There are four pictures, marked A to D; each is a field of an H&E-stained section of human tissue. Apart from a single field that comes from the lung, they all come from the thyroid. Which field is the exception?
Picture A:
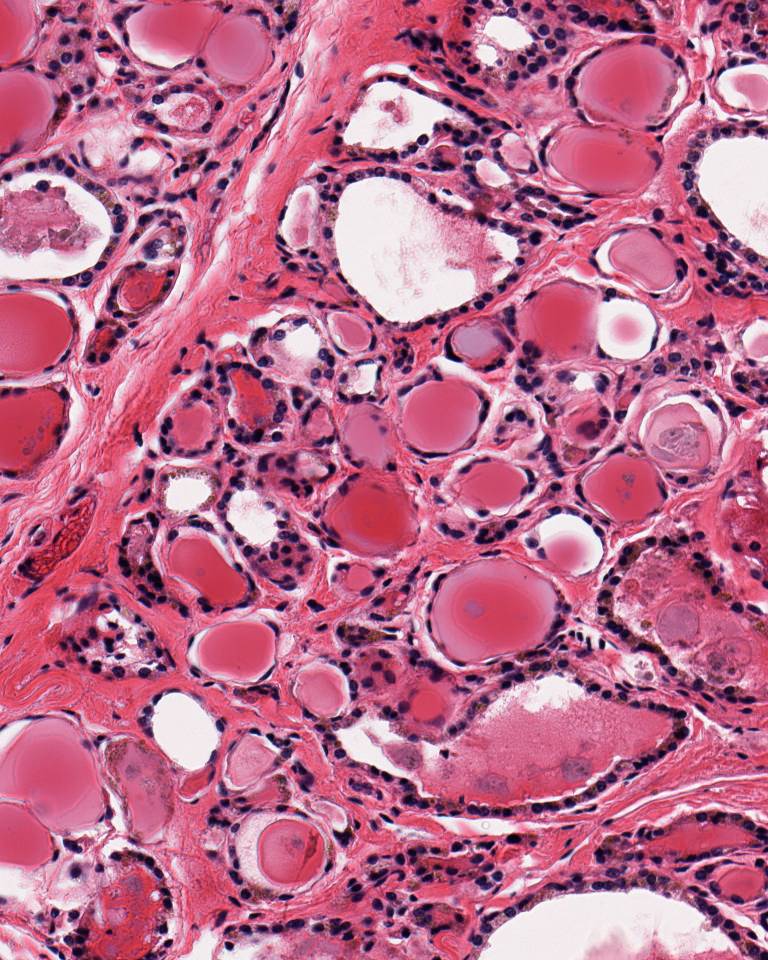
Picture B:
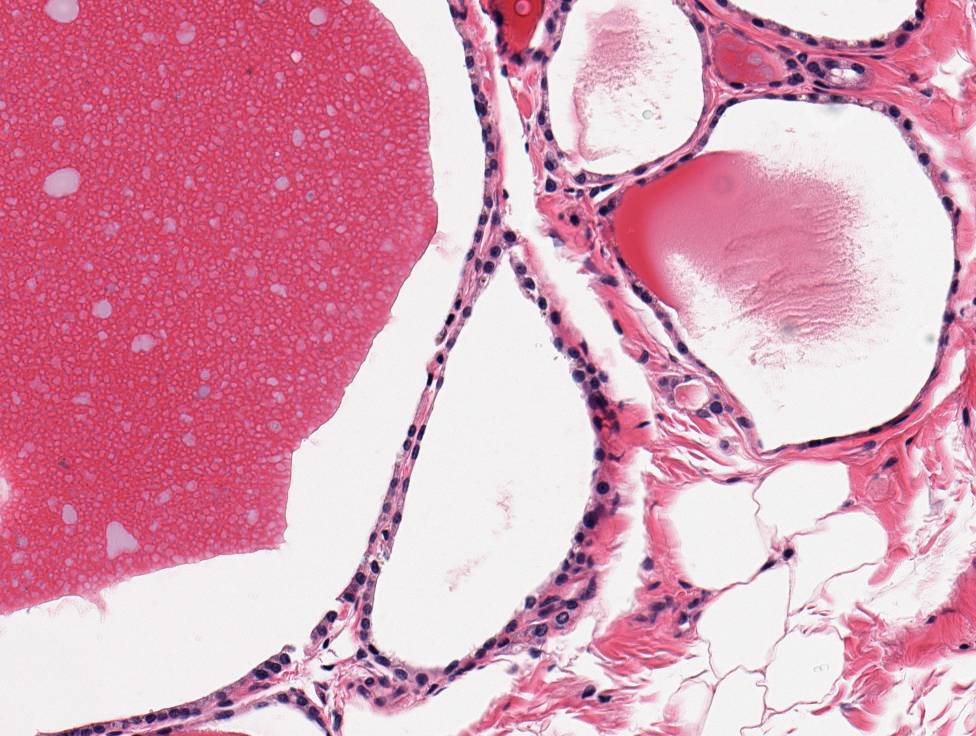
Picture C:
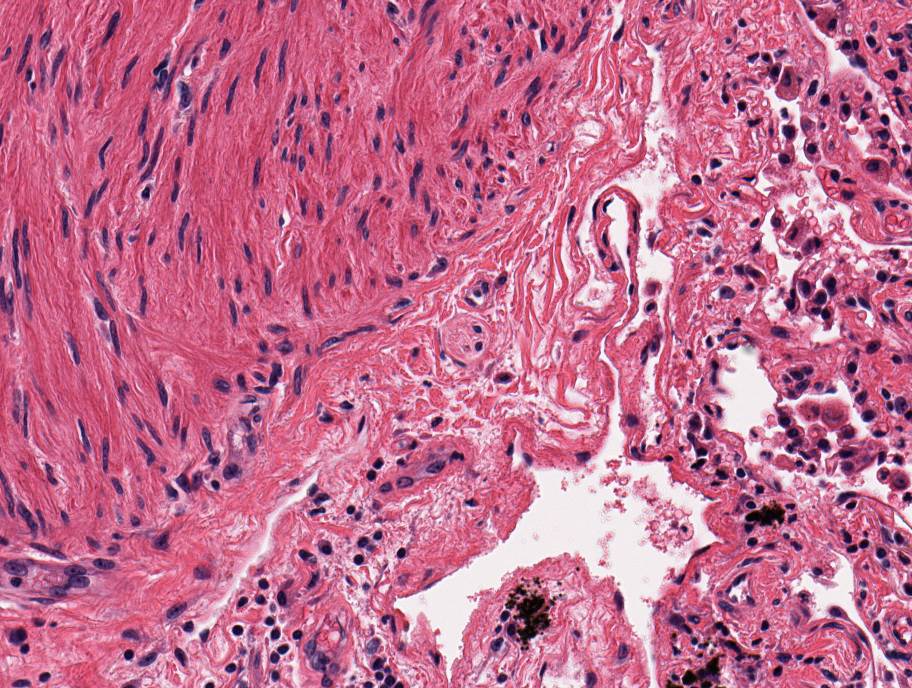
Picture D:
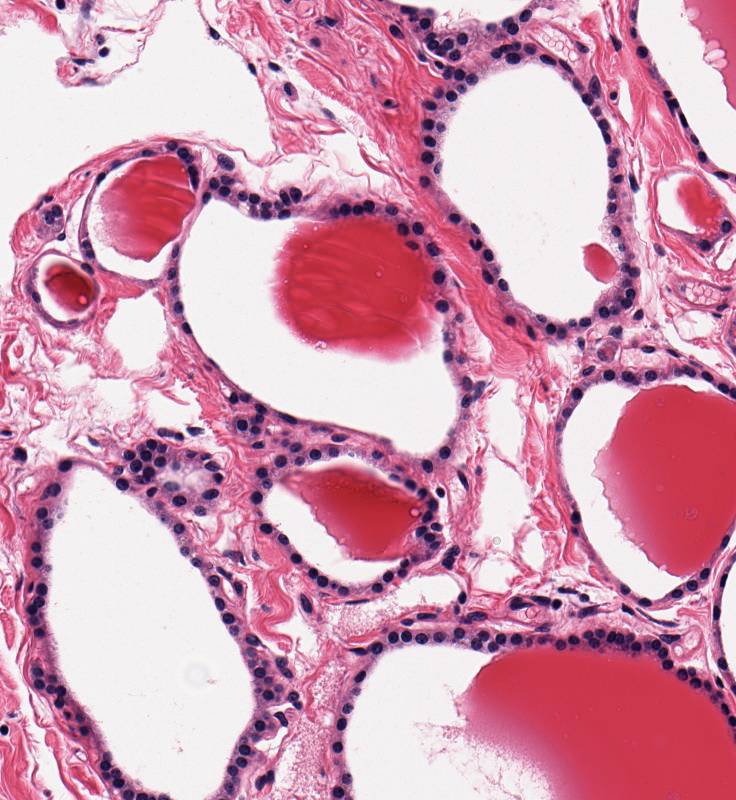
C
